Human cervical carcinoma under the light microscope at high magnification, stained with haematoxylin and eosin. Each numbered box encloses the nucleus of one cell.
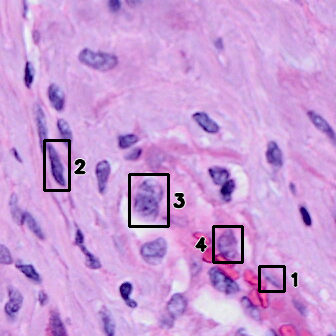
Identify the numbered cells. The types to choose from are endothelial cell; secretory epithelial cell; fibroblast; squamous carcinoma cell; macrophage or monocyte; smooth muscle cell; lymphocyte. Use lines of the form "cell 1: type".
cell 1: endothelial cell
cell 2: fibroblast
cell 3: endothelial cell
cell 4: endothelial cell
